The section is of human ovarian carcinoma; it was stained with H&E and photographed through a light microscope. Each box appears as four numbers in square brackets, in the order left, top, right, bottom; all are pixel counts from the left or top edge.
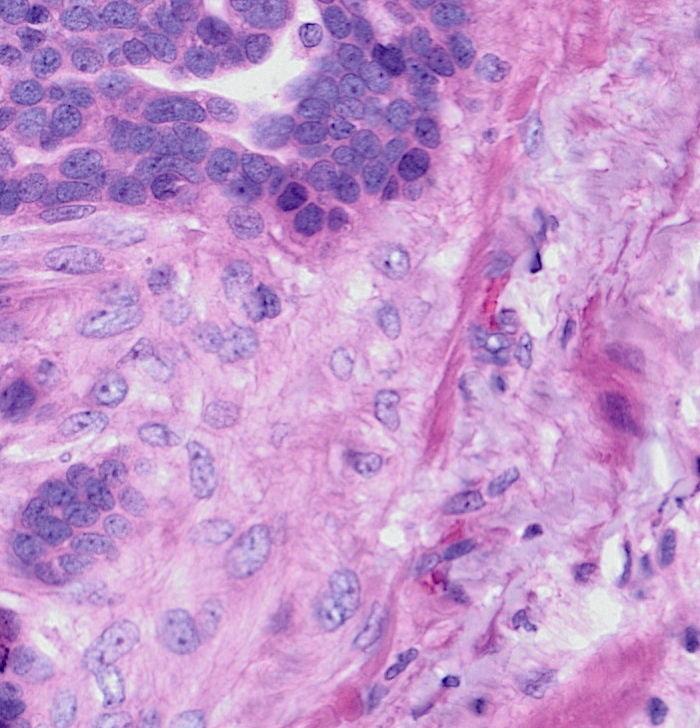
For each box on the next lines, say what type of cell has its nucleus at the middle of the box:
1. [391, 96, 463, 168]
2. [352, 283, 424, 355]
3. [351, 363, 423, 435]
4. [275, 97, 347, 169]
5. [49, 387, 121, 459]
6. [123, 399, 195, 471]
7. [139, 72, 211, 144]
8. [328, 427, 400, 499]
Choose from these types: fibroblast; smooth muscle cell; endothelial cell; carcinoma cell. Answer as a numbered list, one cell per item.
1. carcinoma cell
2. fibroblast
3. fibroblast
4. carcinoma cell
5. fibroblast
6. fibroblast
7. carcinoma cell
8. fibroblast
